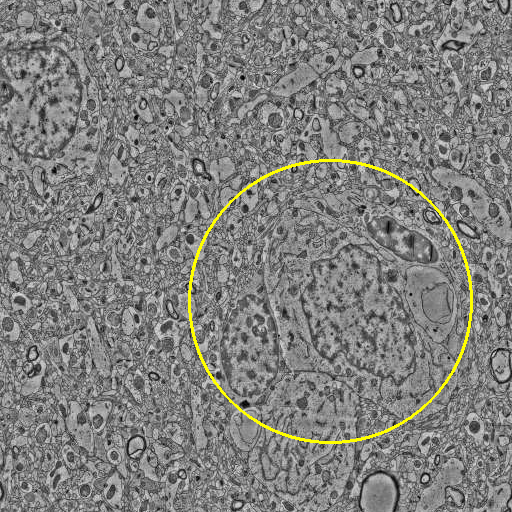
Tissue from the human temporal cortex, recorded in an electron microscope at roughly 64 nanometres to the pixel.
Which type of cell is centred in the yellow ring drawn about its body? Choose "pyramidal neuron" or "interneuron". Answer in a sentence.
The yellow ring surrounds the cell body of an interneuron.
